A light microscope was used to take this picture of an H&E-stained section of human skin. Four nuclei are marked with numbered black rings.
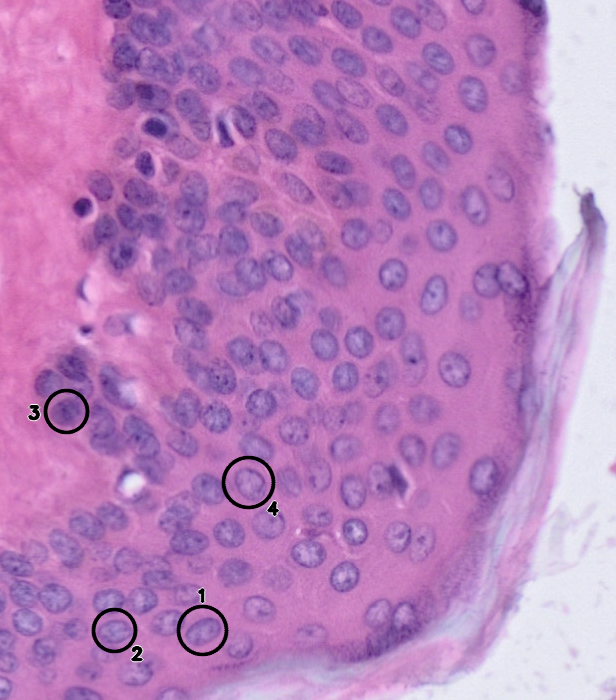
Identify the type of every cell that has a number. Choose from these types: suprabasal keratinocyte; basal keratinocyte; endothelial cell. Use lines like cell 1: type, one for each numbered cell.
cell 1: suprabasal keratinocyte
cell 2: suprabasal keratinocyte
cell 3: basal keratinocyte
cell 4: suprabasal keratinocyte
